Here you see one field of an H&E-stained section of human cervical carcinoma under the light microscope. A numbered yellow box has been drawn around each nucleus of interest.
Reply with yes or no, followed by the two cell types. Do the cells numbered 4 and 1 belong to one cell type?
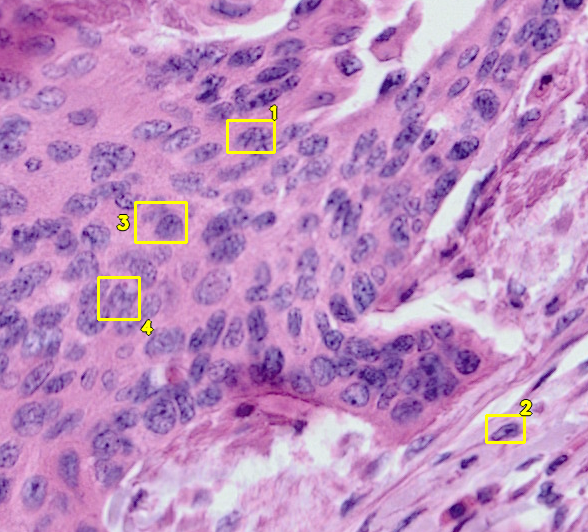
Yes, both are squamous carcinoma cells.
